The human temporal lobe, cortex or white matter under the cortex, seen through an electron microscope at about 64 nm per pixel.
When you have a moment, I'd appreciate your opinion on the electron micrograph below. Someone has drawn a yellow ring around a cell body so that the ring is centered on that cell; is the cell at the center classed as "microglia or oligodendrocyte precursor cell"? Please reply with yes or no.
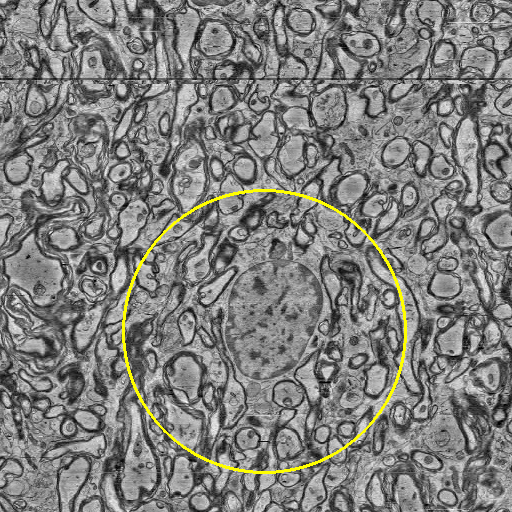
Yes, that cell is of the named kind.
